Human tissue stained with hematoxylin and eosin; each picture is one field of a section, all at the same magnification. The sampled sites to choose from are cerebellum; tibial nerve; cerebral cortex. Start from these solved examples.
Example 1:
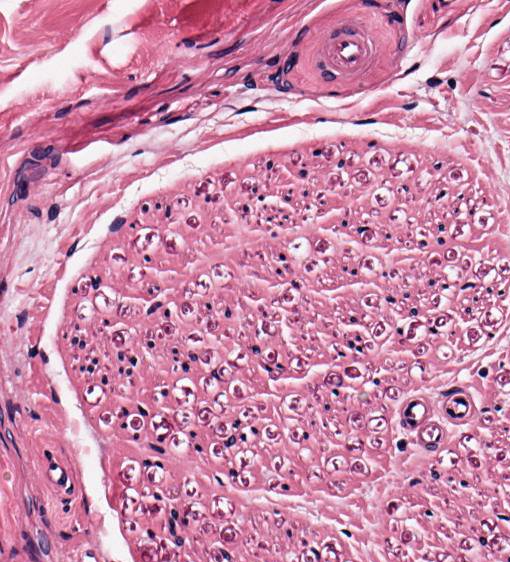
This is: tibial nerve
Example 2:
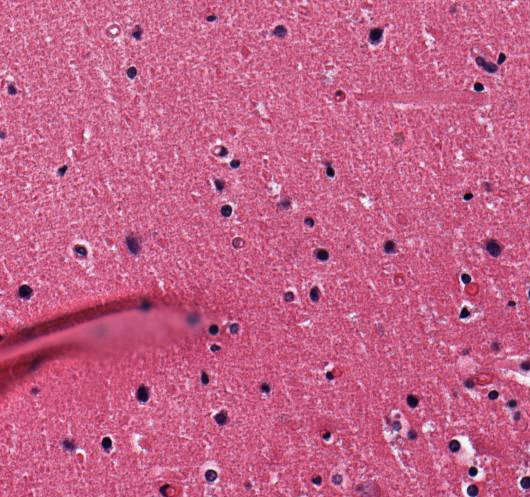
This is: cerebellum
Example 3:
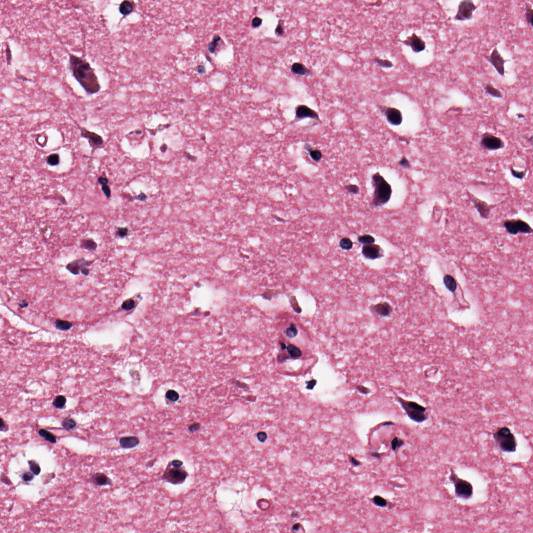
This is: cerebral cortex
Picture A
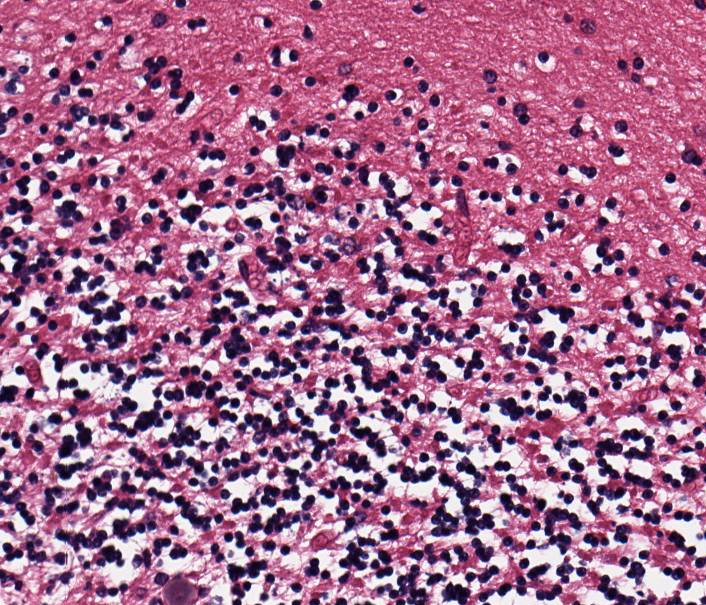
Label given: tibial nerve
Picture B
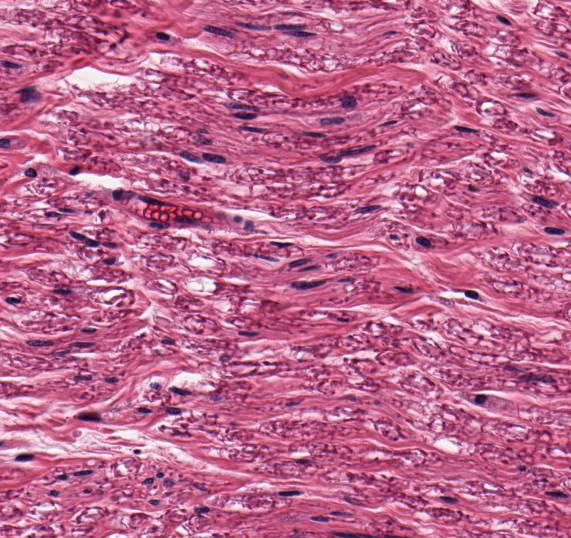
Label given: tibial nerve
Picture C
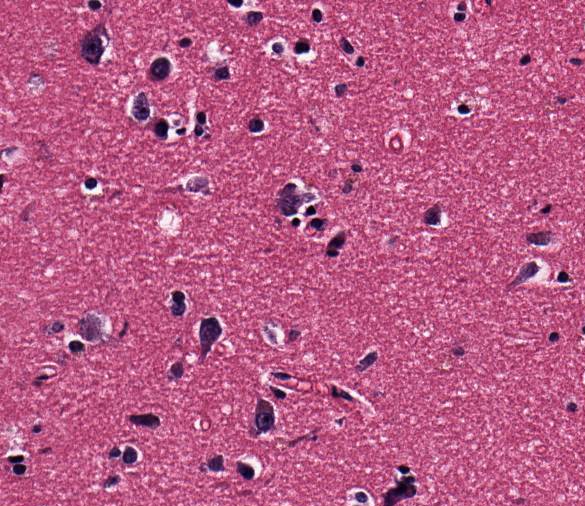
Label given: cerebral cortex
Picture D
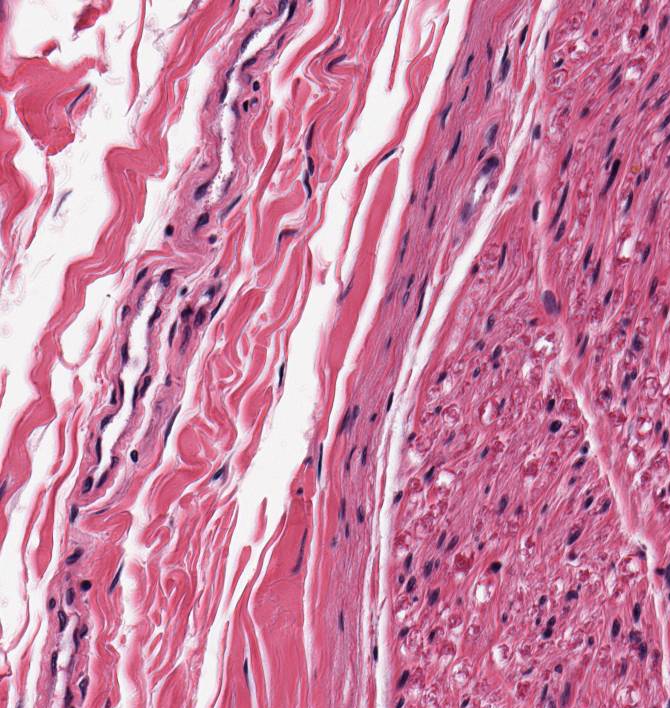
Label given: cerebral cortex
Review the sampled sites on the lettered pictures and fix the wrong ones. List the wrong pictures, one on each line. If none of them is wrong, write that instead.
Wrong: A (tibial nerve); correct: cerebellum
Wrong: D (cerebral cortex); correct: tibial nerve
